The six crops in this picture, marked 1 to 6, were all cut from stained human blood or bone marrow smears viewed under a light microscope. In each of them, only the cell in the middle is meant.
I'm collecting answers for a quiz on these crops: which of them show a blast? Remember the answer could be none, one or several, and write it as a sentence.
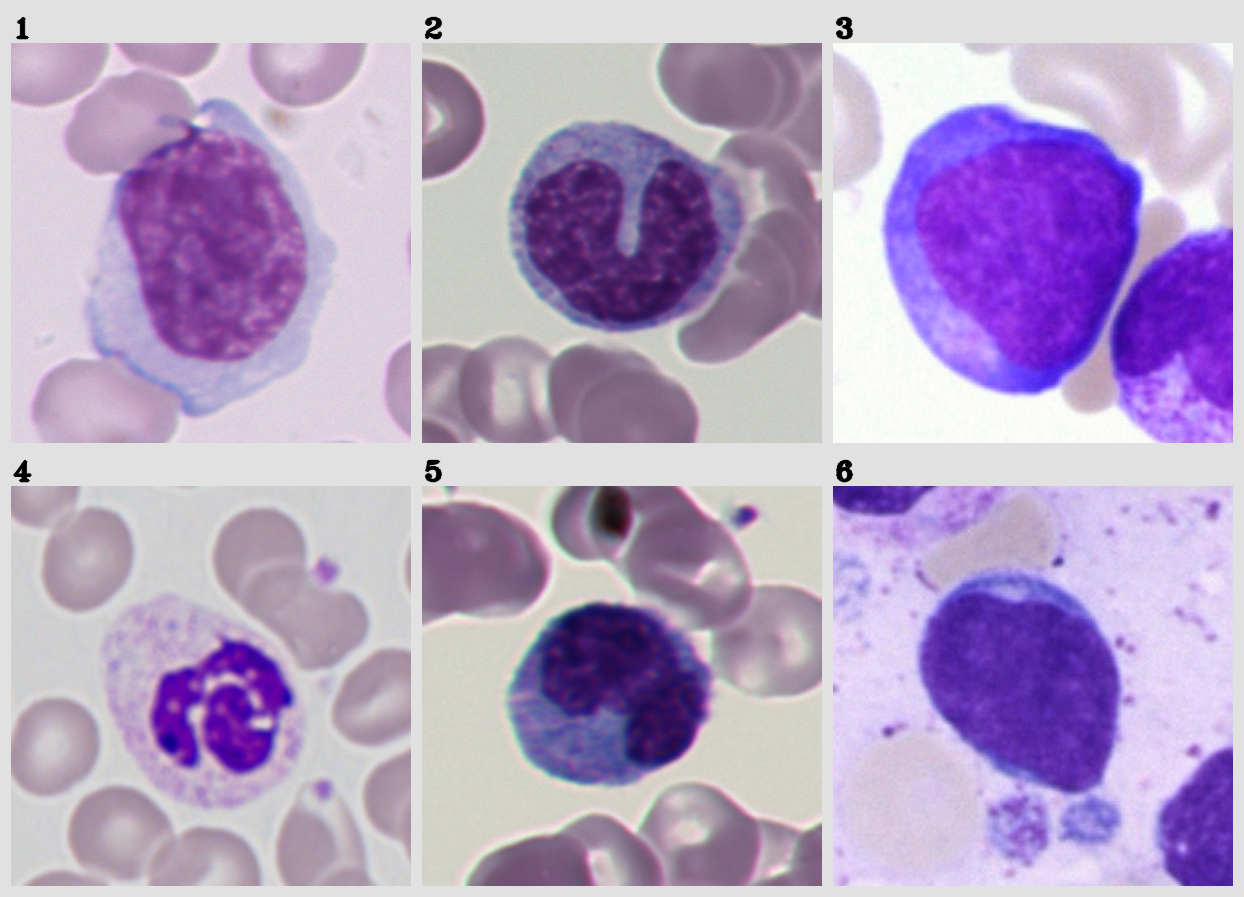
Crops 1, 3 and 6 display blasts in the centre of the field.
